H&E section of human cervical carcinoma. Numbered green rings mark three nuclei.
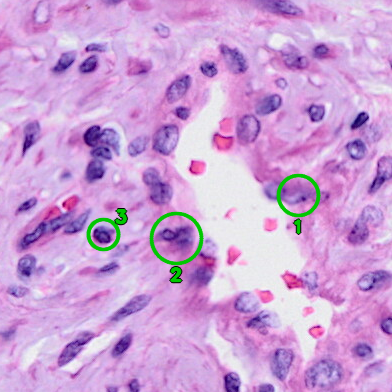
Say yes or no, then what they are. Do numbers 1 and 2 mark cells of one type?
Yes, both are endothelial cells.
